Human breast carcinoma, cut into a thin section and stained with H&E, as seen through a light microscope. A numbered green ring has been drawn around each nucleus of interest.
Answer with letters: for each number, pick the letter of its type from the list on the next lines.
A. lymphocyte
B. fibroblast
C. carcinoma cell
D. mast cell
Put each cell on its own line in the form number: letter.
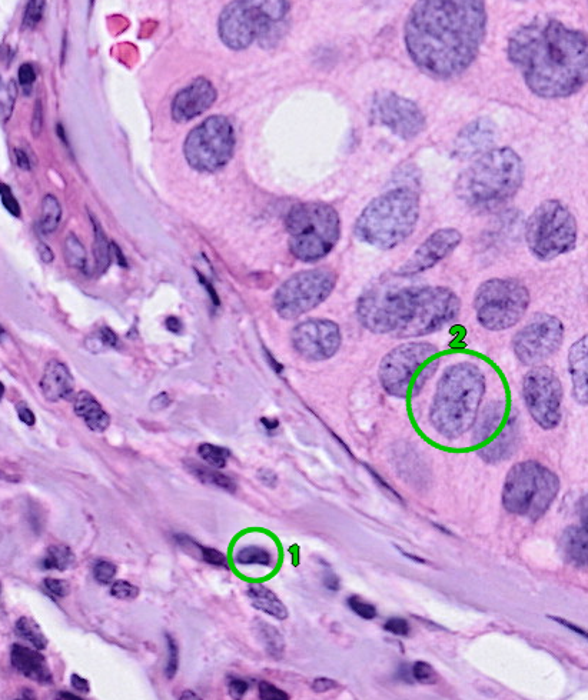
1: A
2: C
